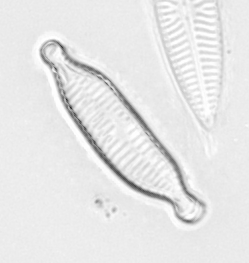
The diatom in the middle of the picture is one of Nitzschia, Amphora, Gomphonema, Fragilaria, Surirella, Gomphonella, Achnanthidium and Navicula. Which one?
Fragilaria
